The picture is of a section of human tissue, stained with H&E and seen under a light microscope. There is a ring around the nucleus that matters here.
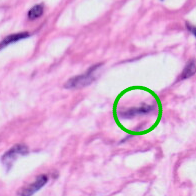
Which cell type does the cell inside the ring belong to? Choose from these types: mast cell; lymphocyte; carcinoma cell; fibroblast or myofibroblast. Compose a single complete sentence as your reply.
By cell type, the cell inside the ring is a fibroblast or myofibroblast.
